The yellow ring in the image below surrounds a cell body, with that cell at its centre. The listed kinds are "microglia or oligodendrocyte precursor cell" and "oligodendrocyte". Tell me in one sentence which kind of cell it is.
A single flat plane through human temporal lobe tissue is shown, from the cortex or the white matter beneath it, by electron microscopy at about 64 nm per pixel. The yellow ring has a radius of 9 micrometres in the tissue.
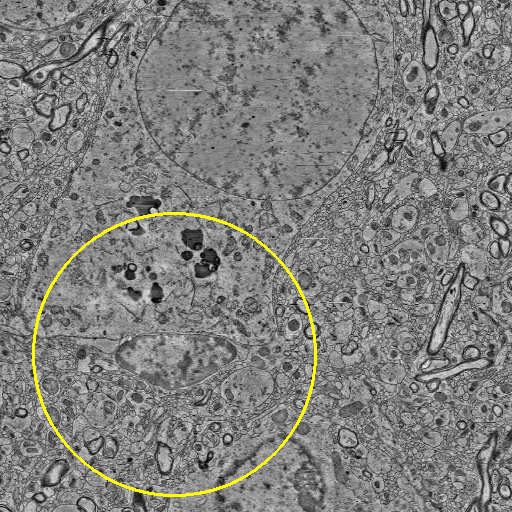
The centre of the ring holds a microglial cell or oligodendrocyte precursor cell.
